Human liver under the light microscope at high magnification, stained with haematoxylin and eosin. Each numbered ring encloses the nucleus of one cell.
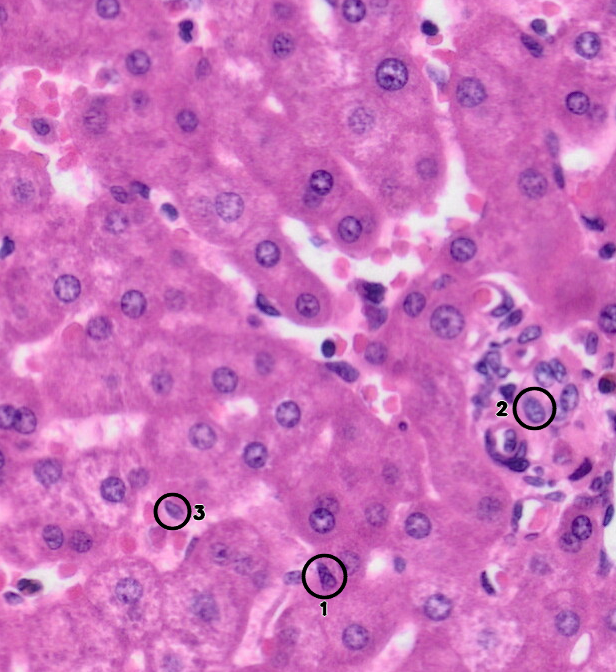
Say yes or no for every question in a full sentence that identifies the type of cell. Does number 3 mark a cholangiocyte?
No, it is a fibroblast or stellate cell, not a cholangiocyte, at number 3.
